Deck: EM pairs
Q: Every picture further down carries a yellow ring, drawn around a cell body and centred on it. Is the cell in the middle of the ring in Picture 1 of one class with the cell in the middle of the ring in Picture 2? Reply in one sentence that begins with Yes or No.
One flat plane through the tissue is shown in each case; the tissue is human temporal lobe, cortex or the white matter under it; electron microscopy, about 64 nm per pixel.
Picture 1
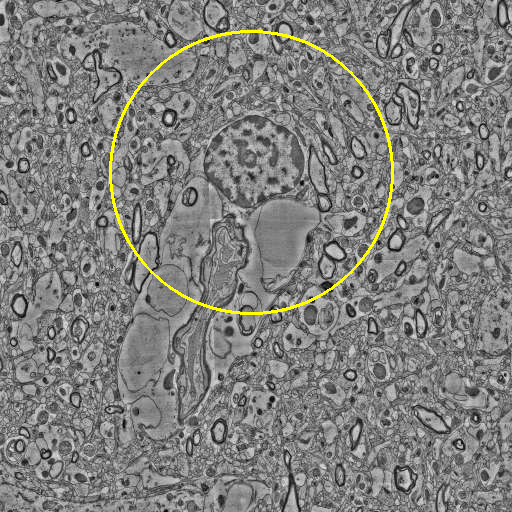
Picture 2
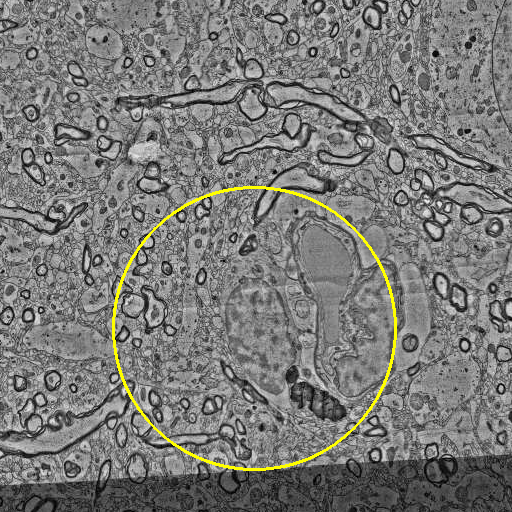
No, the cell centred in the ring of Picture 1 and the one in Picture 2 belong to separate classes.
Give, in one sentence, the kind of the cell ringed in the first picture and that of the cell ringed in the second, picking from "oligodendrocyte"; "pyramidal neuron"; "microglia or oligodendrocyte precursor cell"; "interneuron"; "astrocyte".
For the first picture it is a microglial cell or oligodendrocyte precursor cell; for the second, an oligodendrocyte.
